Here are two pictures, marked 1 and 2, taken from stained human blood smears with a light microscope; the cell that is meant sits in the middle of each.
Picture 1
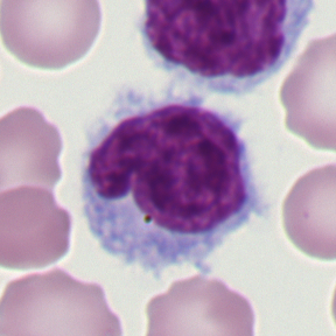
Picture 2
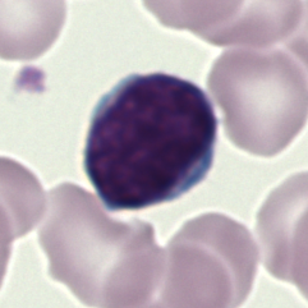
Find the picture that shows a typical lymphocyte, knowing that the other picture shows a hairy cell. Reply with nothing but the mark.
2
